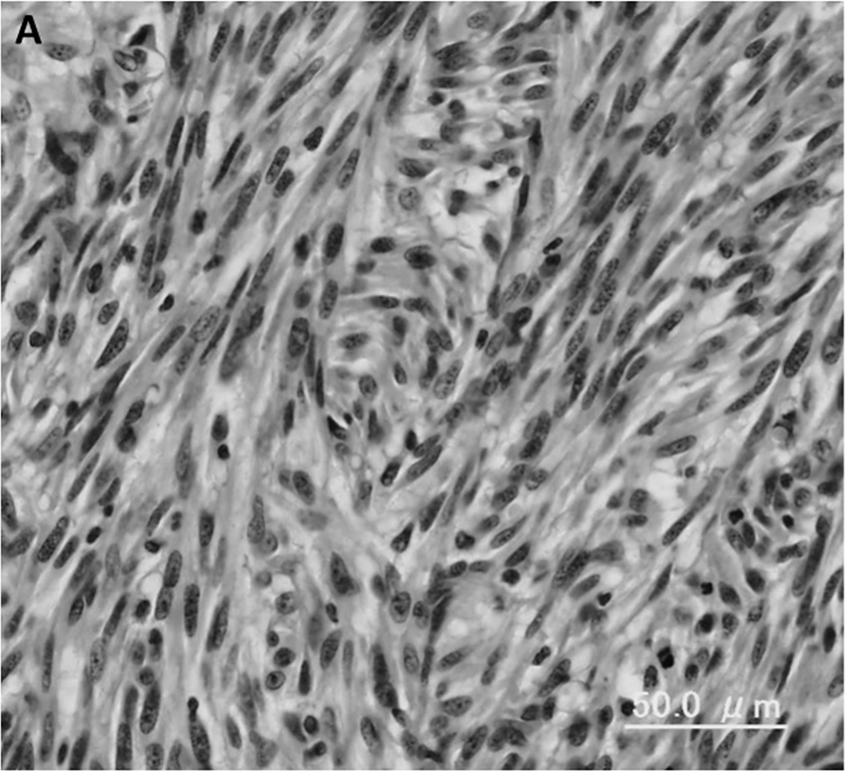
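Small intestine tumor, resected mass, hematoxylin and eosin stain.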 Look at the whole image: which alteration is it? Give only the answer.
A: Hypercellularity.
